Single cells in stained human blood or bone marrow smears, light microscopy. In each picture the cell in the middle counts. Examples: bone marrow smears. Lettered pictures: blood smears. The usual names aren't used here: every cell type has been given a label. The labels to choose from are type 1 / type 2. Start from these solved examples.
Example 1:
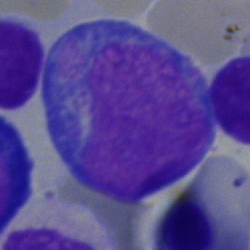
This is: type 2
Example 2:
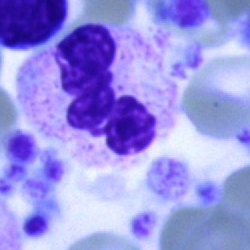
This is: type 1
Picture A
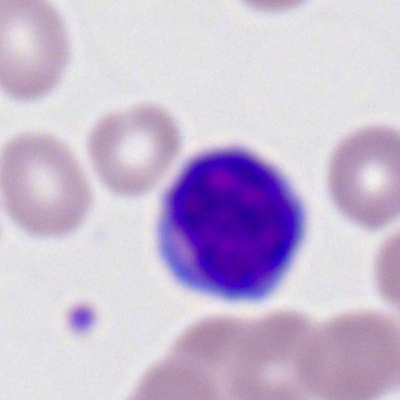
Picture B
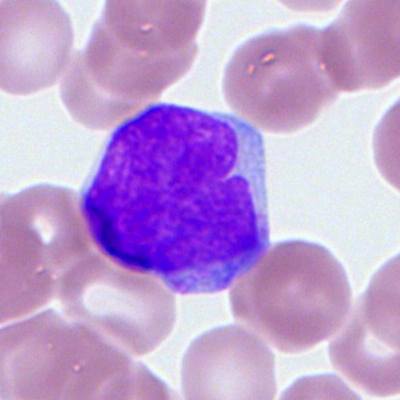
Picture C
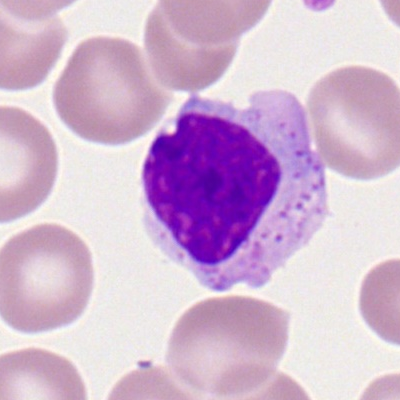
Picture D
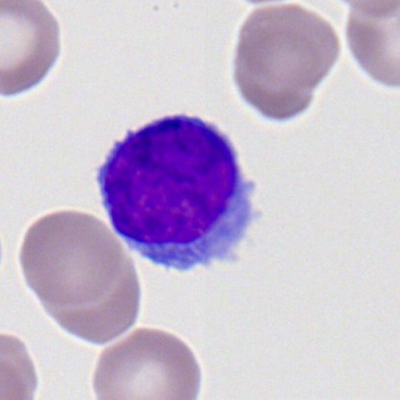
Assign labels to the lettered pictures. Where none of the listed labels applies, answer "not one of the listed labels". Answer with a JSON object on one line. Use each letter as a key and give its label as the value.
{"A": "not one of the listed labels", "B": "type 2", "C": "not one of the listed labels", "D": "not one of the listed labels"}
